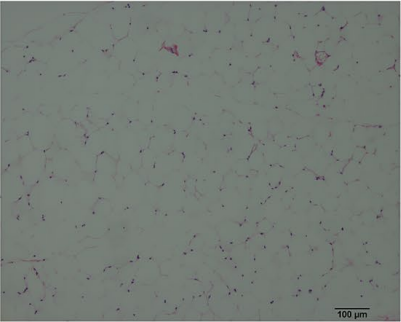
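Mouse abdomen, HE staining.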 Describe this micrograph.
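This is white adipose tissue made of closely packed white adipocytes. Each cell appears as a large, pale, empty-looking polygon, because the single big lipid droplet that filled it has been dissolved during processing. The cells are separated only by thin pink rims of cytoplasm and membrane, giving a fine net-like pattern across the field. At a few junctions where several cells meet, small pink patches of connective tissue and tiny vessels can be seen.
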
